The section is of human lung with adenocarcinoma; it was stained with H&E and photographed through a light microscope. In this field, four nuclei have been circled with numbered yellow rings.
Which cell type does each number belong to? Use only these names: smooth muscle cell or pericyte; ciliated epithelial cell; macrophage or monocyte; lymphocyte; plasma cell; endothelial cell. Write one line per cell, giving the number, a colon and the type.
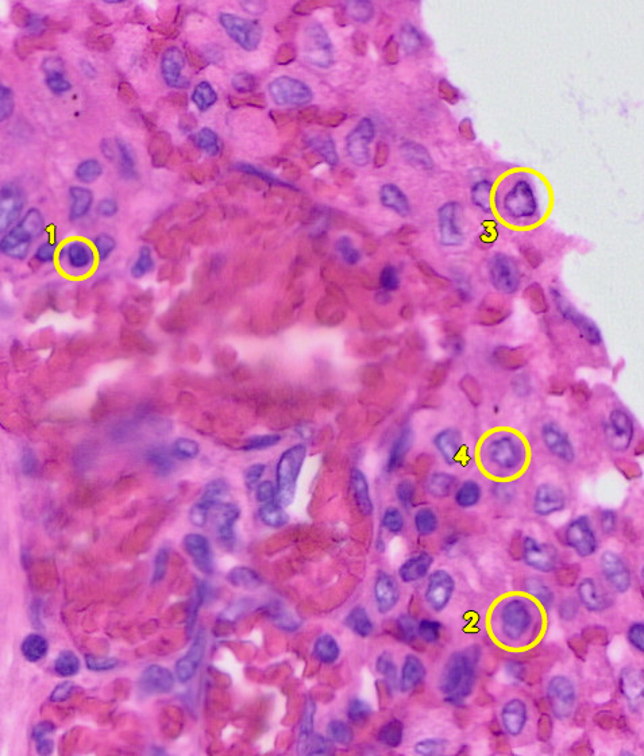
1: lymphocyte
2: macrophage or monocyte
3: macrophage or monocyte
4: macrophage or monocyte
